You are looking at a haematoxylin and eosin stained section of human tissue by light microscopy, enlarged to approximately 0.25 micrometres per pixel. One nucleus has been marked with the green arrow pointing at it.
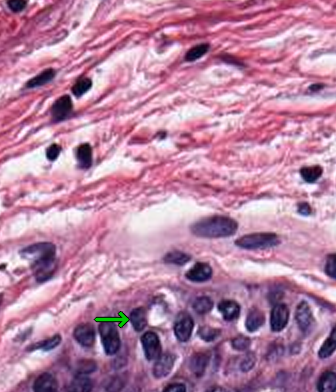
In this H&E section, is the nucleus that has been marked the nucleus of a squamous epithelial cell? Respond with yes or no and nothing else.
yes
